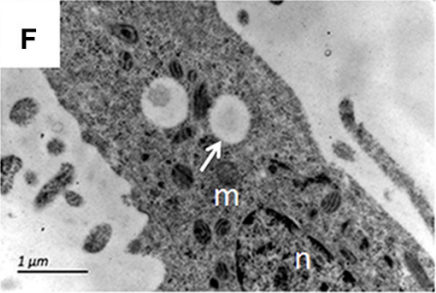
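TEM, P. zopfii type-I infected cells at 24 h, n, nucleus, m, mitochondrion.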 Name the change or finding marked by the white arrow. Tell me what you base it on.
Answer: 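Cytoplasm cavitation. Two large pale round spaces lie in the cytoplasm among mitochondria. The arrow points at one of these pale round spaces.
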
